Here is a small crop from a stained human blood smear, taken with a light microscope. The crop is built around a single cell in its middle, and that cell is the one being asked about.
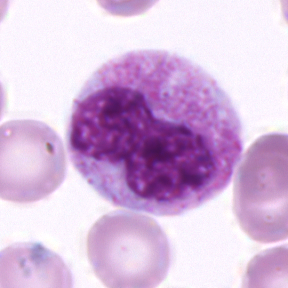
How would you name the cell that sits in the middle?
band neutrophil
